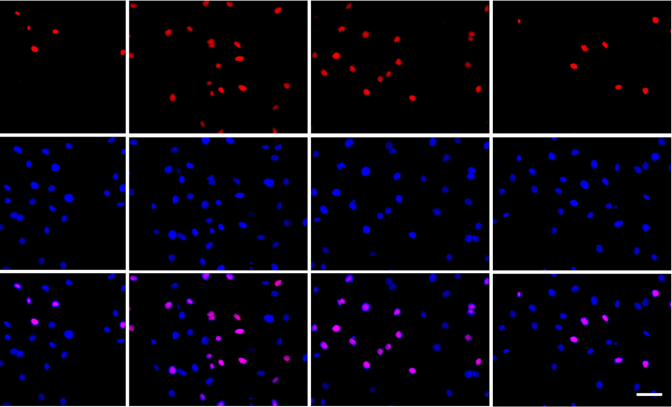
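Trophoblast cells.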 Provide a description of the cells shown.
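Where the two colours are overlaid, these nuclei appear magenta while the rest stay blue. The number of red nuclei differs clearly between the columns of images, with few in some and many in others.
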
